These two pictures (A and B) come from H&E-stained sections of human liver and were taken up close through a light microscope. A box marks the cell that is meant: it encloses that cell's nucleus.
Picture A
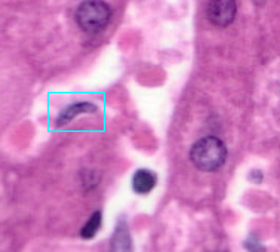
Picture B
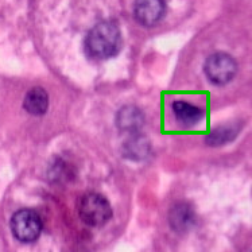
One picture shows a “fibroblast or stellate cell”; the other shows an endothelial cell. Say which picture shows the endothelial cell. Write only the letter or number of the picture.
A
